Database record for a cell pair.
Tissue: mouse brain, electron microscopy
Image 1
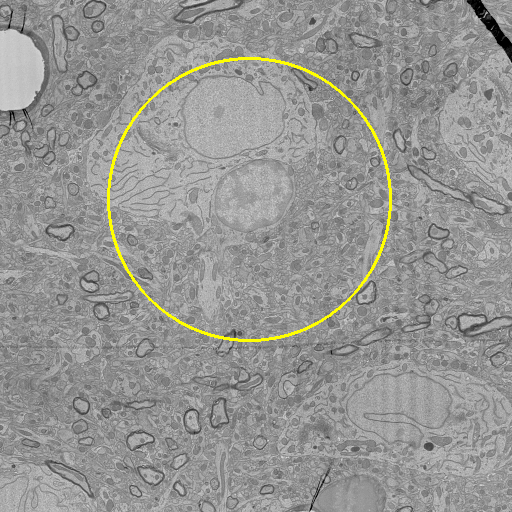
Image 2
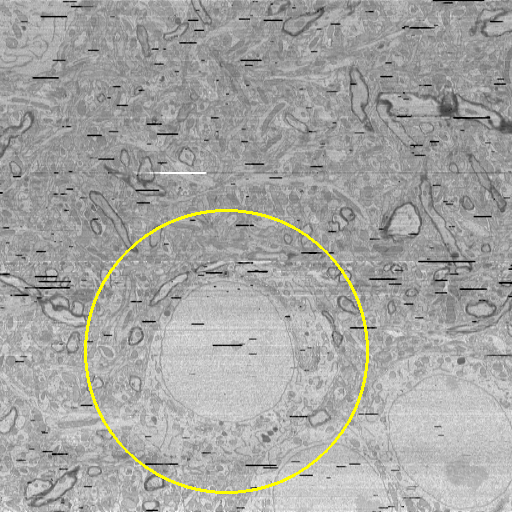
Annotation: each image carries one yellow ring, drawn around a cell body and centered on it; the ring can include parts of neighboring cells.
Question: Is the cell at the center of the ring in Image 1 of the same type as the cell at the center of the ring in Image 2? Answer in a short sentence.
No, the cells are of two types.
